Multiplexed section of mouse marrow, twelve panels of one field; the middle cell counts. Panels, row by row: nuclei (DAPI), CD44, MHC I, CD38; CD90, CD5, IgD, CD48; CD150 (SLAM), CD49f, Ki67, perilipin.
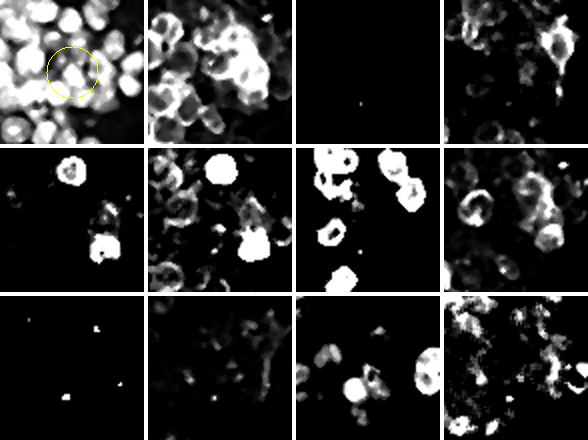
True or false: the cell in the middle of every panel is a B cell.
False; it is an erythroblast.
